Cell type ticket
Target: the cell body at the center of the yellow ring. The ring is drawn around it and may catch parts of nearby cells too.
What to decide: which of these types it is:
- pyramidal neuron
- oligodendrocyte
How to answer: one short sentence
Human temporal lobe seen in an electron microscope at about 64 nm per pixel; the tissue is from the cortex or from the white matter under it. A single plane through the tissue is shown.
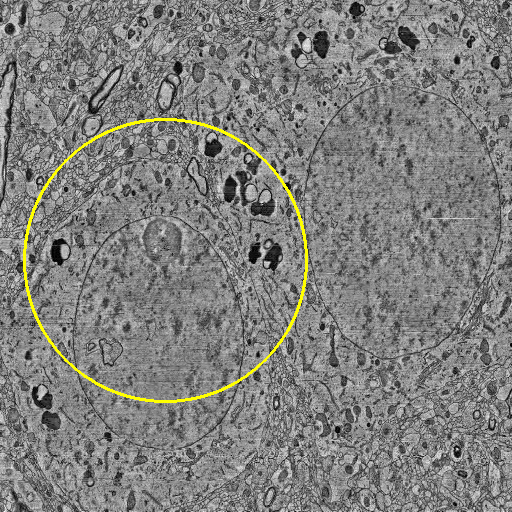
The cell at the center of the ring is a pyramidal neuron.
